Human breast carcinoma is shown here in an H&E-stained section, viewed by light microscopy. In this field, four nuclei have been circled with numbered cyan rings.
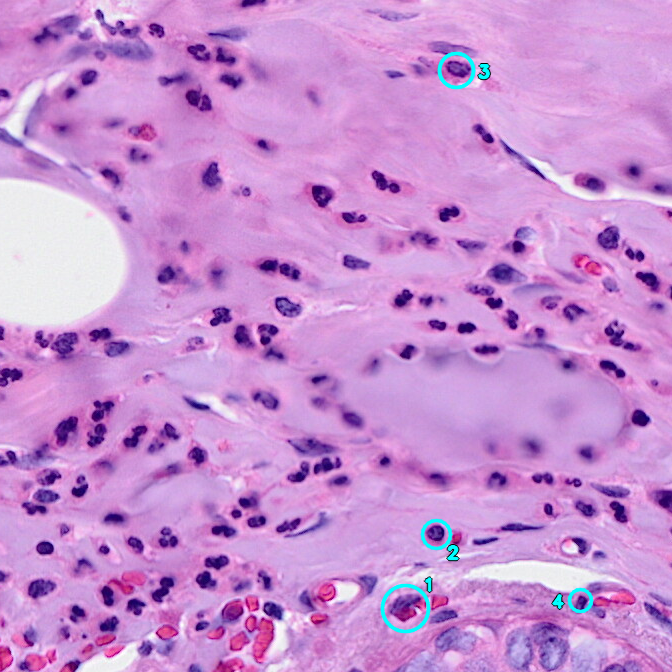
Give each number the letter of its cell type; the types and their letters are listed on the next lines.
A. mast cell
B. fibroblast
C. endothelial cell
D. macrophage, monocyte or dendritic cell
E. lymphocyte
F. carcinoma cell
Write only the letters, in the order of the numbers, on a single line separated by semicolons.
C; A; A; C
